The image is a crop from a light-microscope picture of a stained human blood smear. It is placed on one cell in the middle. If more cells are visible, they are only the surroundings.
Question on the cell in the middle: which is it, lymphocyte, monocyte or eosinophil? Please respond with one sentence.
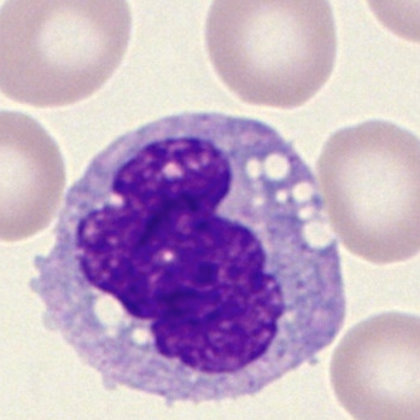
Located at the centre of the crop is a monocyte.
